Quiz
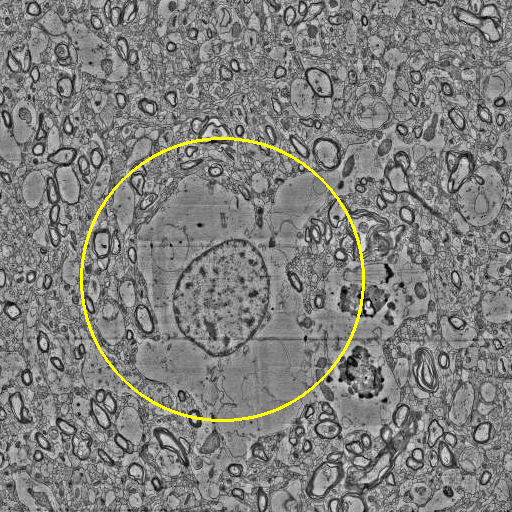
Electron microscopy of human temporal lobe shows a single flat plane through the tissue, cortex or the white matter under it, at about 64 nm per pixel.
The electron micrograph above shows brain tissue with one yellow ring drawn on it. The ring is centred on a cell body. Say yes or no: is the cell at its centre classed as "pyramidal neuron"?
no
